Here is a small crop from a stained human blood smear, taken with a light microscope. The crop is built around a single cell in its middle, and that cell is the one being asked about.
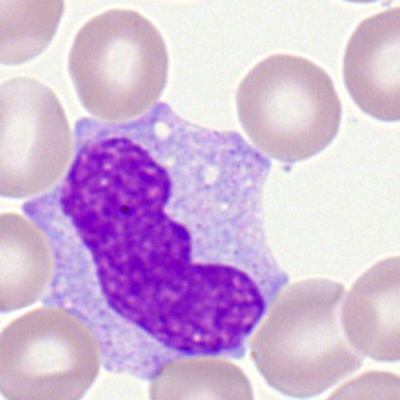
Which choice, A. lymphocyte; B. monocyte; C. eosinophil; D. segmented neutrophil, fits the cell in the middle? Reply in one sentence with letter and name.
The cell in the middle is a monocyte, and so option B is correct.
